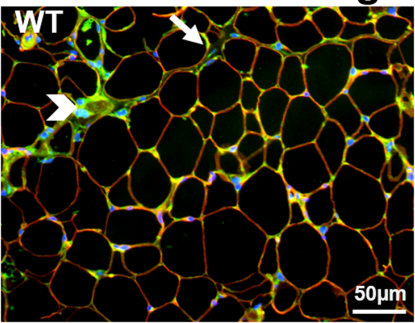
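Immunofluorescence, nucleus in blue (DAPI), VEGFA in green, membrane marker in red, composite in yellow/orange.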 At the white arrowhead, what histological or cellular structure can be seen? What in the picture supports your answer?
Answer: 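The arrowhead points at a thicker band of tissue between the large cells. Several small blue nuclei are crowded in that band. On this evidence: vessels.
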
